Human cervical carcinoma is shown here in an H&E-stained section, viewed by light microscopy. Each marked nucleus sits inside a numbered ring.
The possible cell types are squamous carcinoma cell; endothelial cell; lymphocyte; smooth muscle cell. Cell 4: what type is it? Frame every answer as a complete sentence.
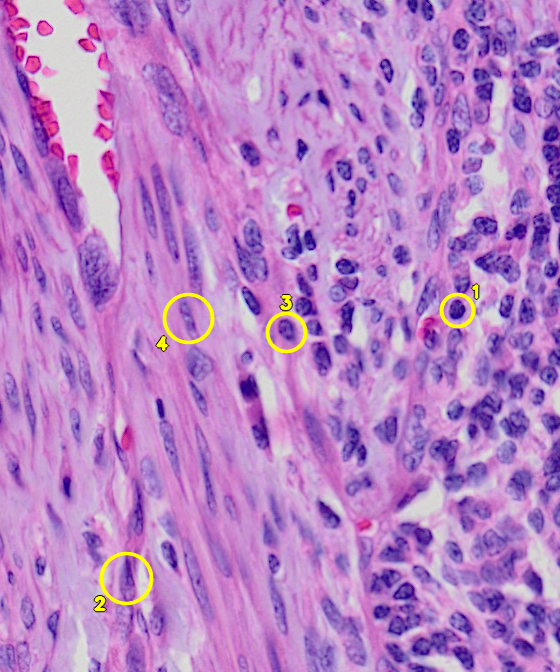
Nucleus 4 in this section belongs to a smooth muscle cell.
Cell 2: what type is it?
The nucleus labelled 2 belongs to an endothelial cell.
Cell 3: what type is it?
The cell assigned the number 3 is a lymphocyte.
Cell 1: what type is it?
The cell numbered 1 represents a lymphocyte.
